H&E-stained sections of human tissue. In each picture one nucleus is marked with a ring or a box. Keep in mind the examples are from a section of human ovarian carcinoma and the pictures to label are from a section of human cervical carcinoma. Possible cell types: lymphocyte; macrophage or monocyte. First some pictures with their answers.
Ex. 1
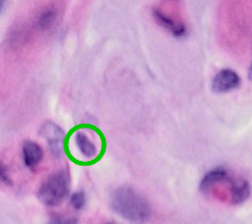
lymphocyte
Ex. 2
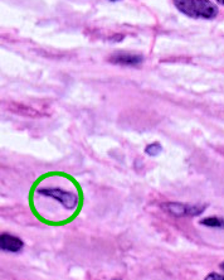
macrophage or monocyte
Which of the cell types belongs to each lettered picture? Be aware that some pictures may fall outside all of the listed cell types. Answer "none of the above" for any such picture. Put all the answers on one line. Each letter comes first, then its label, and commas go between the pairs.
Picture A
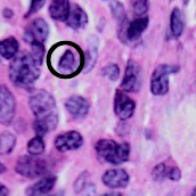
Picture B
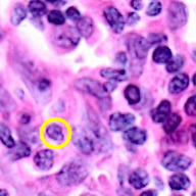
A lymphocyte, B lymphocyte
